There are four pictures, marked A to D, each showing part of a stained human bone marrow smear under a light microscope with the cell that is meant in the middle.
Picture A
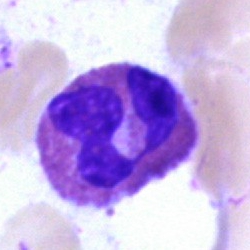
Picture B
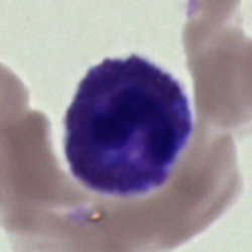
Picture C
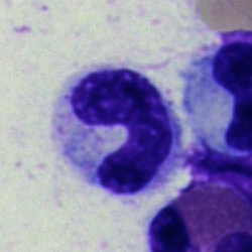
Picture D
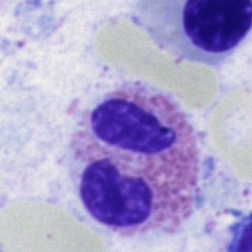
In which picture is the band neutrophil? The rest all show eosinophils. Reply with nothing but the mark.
C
